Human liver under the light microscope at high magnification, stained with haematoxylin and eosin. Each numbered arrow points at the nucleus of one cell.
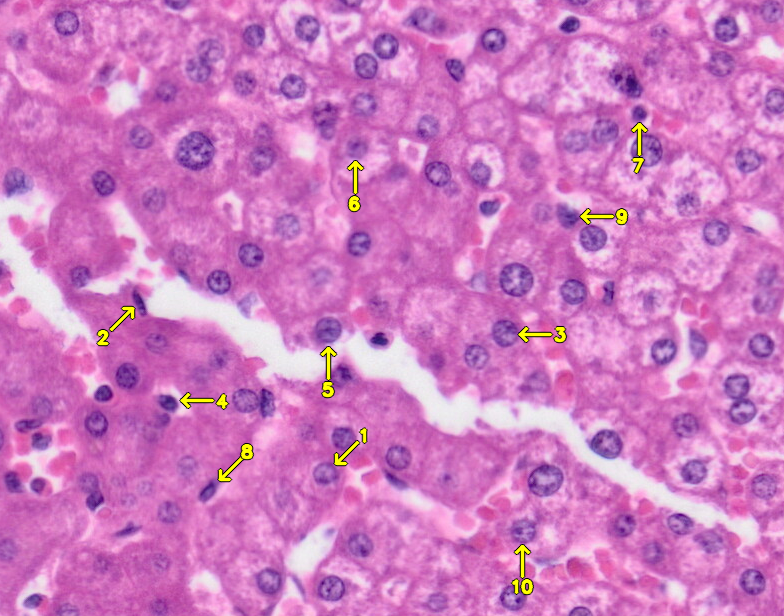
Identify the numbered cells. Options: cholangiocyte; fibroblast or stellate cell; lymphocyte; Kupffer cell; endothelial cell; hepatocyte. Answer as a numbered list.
1. hepatocyte
2. fibroblast or stellate cell
3. hepatocyte
4. lymphocyte
5. hepatocyte
6. hepatocyte
7. lymphocyte
8. fibroblast or stellate cell
9. endothelial cell
10. hepatocyte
